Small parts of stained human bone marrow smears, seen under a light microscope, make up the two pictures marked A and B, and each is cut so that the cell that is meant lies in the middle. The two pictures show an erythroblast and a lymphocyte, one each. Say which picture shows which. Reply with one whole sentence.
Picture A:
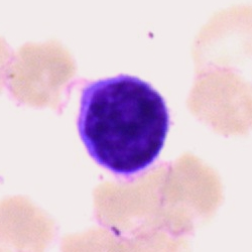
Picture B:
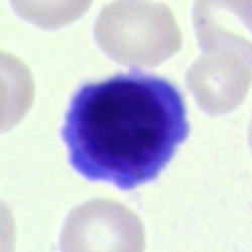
Picture A is of a lymphocyte, and picture B is of an erythroblast.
